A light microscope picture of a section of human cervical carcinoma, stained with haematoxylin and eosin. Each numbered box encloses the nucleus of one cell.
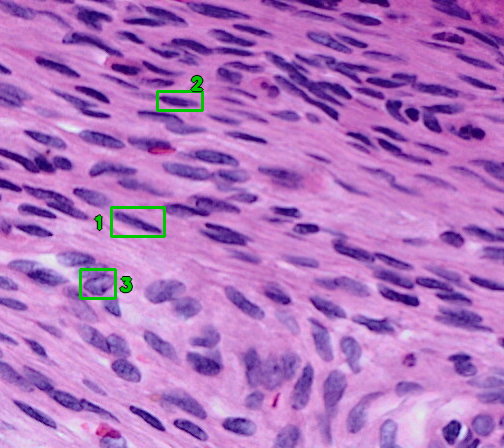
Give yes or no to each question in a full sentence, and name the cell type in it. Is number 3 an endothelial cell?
Yes, within this section, cell number 3 is an endothelial cell.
